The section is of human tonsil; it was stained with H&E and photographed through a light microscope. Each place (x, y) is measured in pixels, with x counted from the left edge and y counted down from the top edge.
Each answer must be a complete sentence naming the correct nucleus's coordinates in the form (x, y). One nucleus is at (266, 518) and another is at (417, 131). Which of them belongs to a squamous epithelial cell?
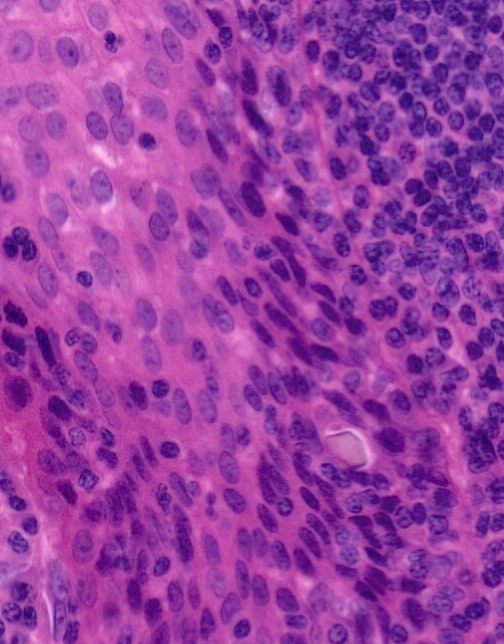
Located at (266, 518), this nucleus is the one belonging to a squamous epithelial cell.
